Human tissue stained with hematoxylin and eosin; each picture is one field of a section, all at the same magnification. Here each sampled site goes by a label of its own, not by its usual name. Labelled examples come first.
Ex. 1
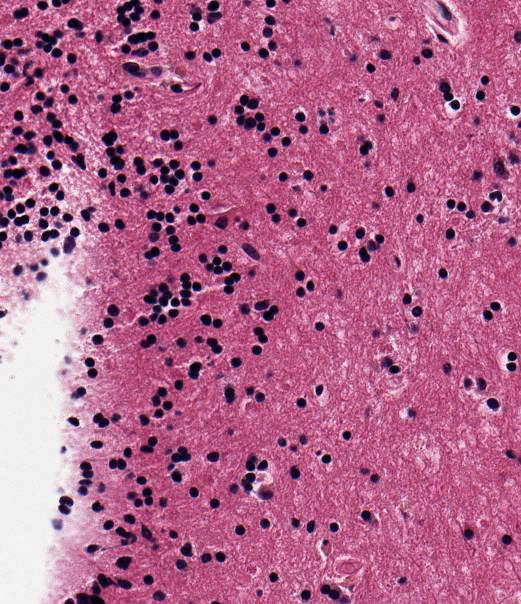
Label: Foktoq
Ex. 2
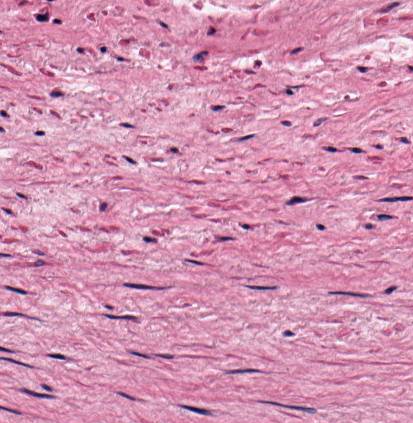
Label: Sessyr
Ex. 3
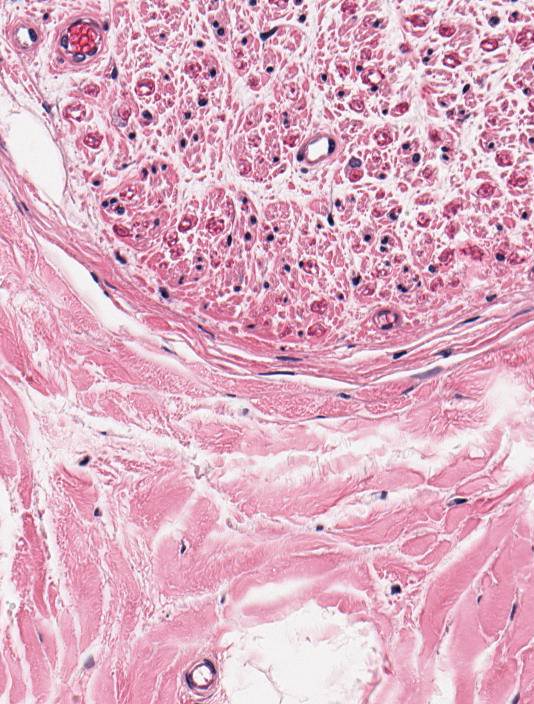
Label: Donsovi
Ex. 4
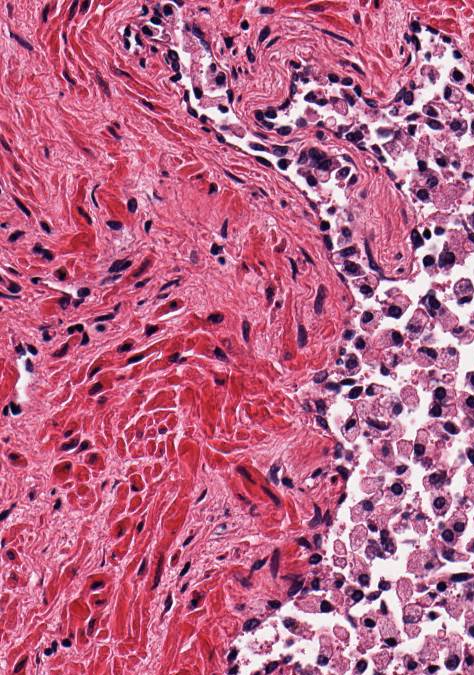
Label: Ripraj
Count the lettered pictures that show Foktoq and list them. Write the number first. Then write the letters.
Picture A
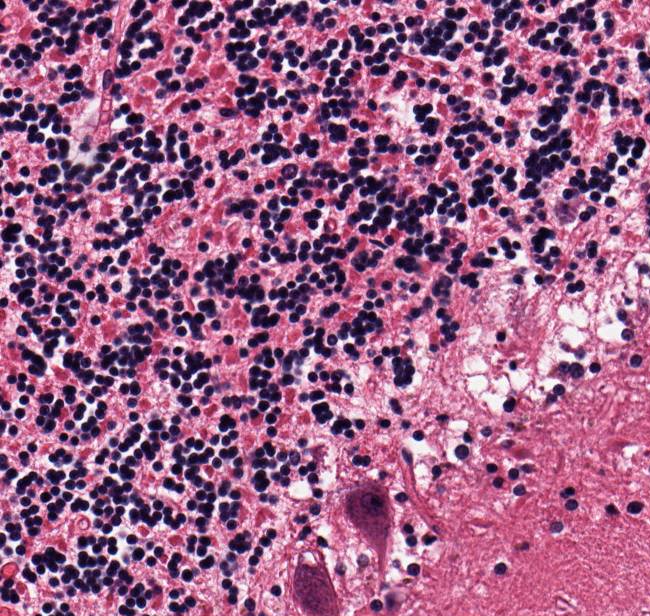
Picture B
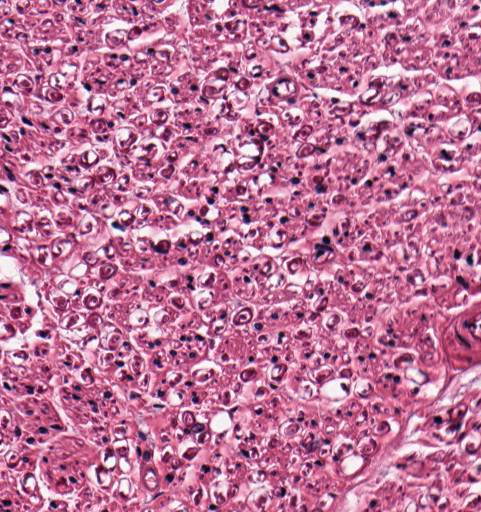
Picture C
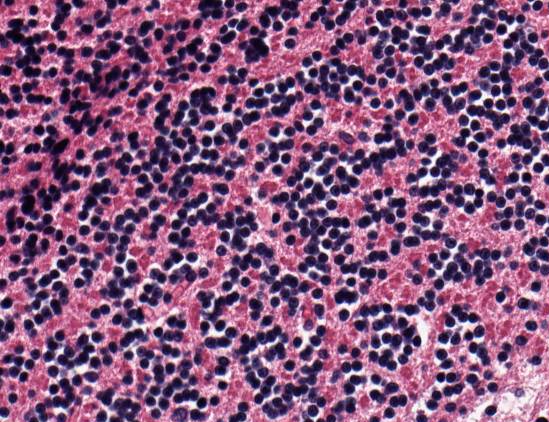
2, namely A, C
